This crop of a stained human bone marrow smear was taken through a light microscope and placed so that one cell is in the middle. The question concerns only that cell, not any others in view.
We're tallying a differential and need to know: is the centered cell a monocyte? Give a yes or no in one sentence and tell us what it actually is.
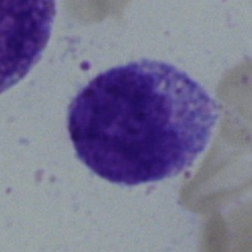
No, it is a myelocyte and not a monocyte that occupies the middle of the crop.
